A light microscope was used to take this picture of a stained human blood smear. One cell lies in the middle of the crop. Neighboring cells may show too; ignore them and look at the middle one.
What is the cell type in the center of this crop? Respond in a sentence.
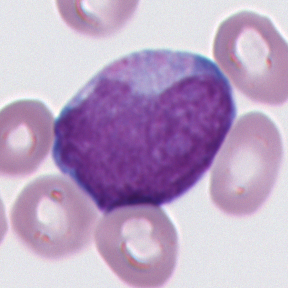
The cell positioned in the middle of the field is an atypical promyelocyte.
